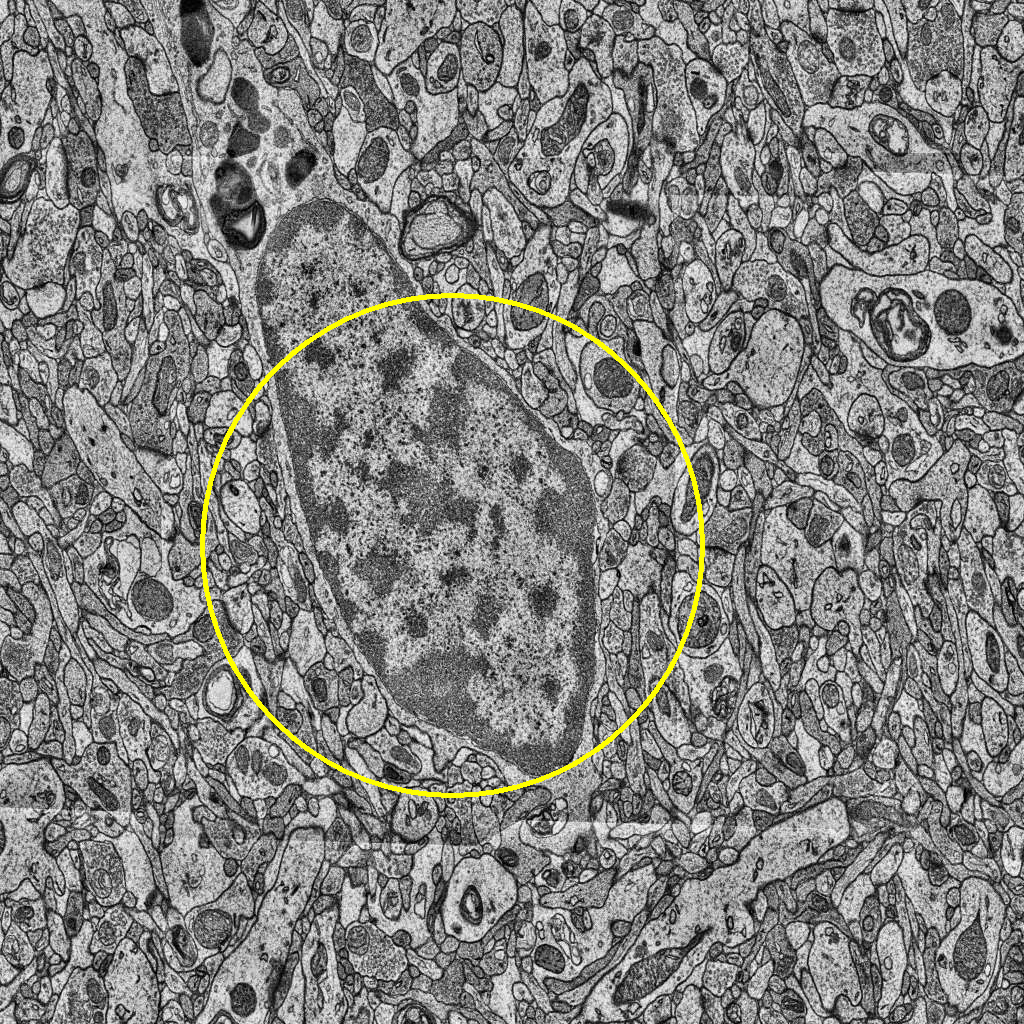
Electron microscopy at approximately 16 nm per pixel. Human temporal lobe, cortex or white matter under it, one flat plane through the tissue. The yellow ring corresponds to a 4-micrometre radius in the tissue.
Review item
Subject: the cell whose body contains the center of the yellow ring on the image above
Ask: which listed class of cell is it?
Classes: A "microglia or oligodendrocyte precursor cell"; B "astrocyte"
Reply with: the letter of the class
A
